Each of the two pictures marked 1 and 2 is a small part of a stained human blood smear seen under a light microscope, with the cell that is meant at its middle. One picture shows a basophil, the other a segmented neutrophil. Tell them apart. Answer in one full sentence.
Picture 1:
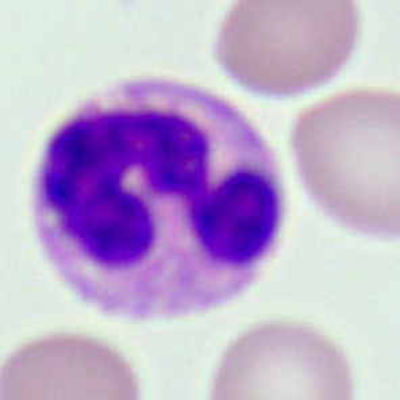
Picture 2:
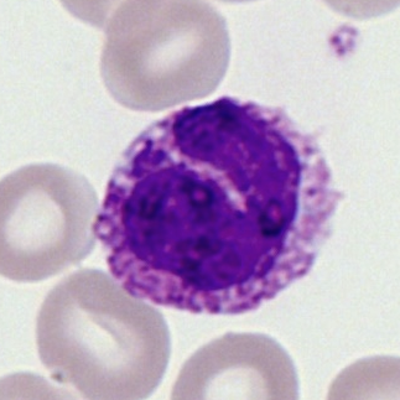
Picture 1 shows a segmented neutrophil and picture 2 shows a basophil.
